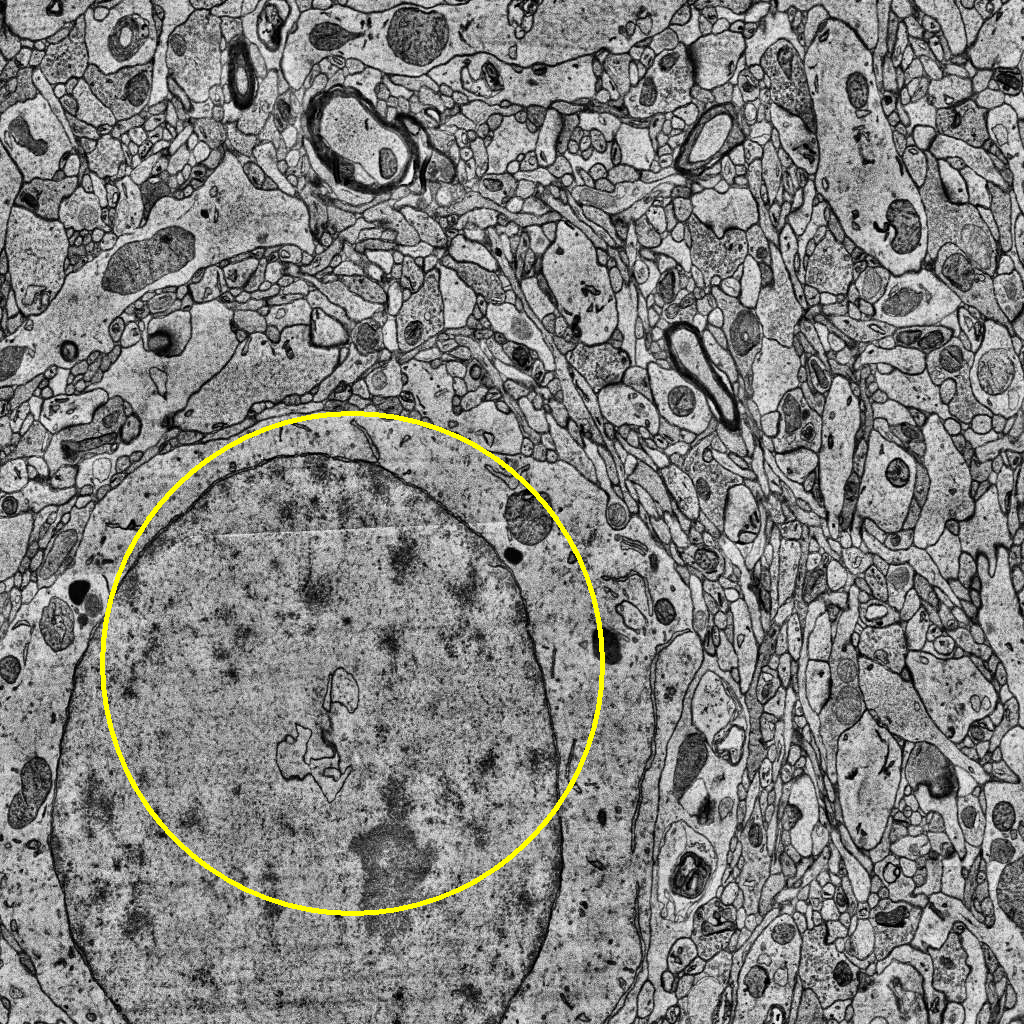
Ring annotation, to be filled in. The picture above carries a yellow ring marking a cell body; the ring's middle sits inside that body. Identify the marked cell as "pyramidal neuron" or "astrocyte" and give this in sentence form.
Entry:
The cell at the middle of the ring is a pyramidal neuron.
